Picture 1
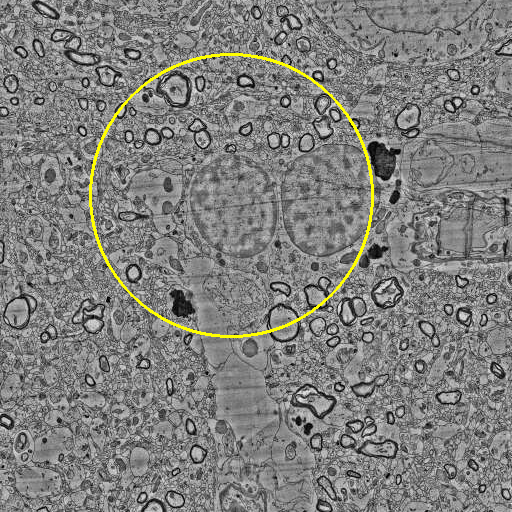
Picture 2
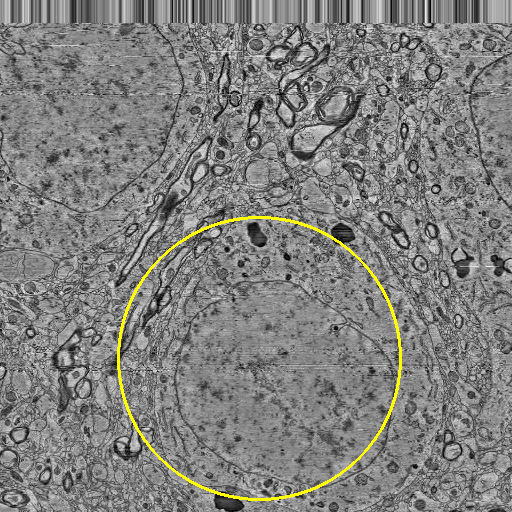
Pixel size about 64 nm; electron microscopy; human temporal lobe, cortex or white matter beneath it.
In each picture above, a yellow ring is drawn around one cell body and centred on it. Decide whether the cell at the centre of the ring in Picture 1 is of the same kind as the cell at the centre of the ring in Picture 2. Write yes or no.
no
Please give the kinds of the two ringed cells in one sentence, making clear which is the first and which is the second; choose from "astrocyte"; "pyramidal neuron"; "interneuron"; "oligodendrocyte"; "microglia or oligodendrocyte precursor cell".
In the second picture the ringed cell is a pyramidal neuron; in the first it is an oligodendrocyte.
